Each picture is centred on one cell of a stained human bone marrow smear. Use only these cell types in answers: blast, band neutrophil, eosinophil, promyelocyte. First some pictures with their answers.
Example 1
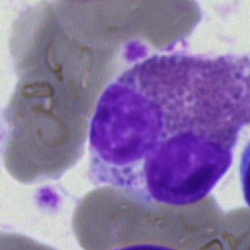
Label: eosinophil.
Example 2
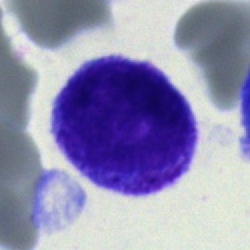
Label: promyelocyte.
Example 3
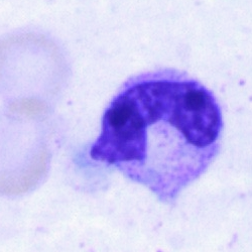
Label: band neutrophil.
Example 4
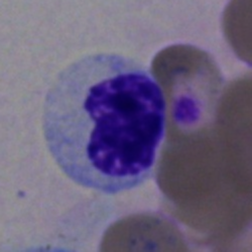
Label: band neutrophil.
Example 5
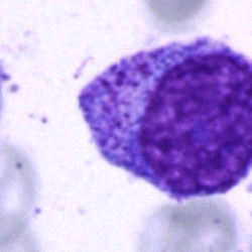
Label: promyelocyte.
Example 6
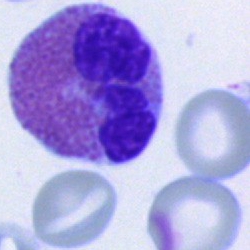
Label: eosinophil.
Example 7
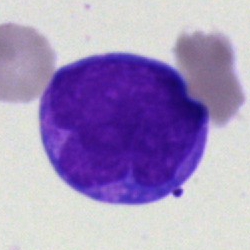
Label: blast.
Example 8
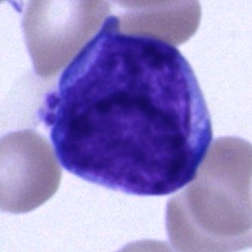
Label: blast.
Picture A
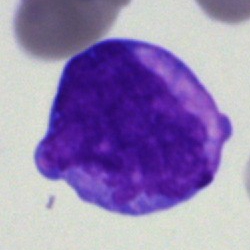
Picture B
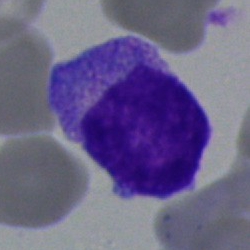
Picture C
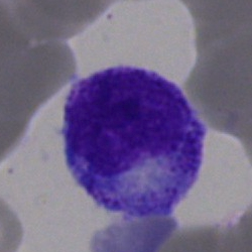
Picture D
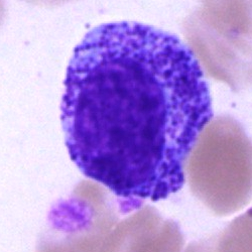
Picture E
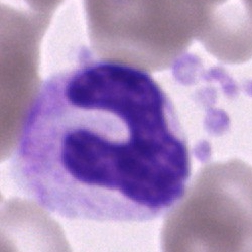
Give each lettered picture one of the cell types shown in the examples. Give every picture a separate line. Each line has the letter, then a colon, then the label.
A: blast.
B: blast.
C: promyelocyte.
D: promyelocyte.
E: band neutrophil.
